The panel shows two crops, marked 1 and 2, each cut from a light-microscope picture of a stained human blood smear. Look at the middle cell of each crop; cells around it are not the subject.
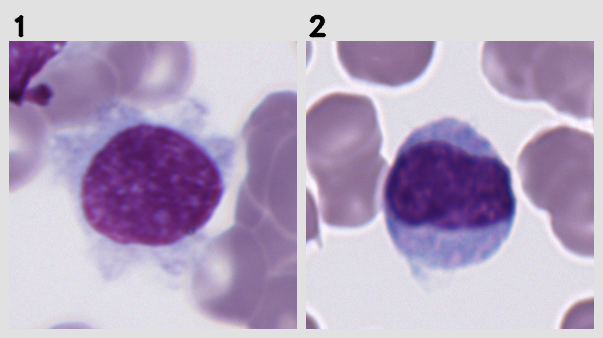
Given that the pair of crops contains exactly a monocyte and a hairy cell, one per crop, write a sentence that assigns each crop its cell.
Crop 2 shows a monocyte, and crop 1 shows a hairy cell.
